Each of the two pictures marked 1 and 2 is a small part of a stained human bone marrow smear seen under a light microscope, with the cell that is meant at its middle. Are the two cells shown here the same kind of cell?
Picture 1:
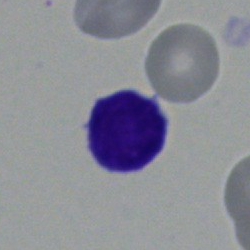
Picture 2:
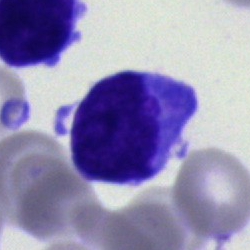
no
